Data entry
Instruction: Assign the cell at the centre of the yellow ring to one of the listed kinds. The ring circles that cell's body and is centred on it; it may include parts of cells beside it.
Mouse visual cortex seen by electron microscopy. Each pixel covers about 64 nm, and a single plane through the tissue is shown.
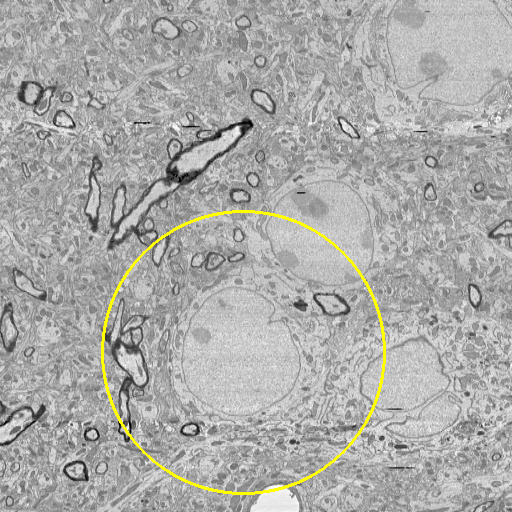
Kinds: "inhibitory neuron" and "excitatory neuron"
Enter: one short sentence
The centre of the ring falls on an excitatory neuron.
